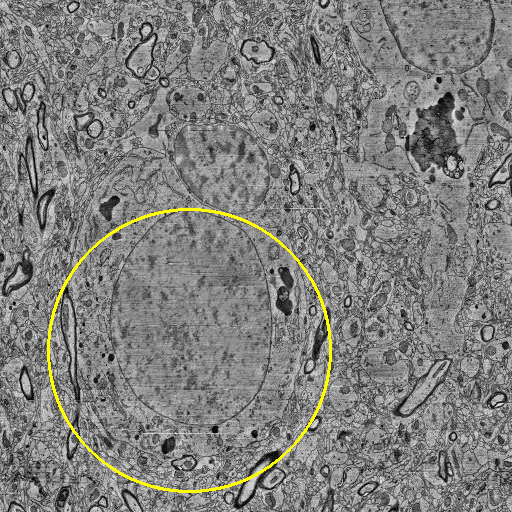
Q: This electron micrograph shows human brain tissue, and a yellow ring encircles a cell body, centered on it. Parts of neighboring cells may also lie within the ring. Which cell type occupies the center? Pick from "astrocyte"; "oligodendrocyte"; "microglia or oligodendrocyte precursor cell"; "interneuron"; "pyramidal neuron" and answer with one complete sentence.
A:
What sits at the ring's center in this micrograph is a pyramidal neuron, among those choices.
